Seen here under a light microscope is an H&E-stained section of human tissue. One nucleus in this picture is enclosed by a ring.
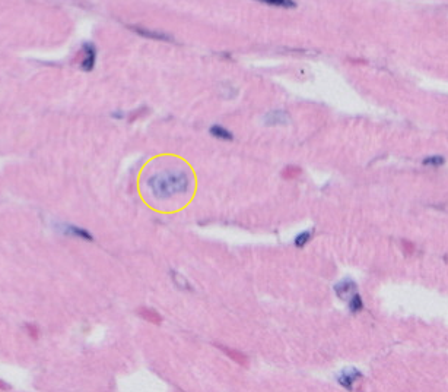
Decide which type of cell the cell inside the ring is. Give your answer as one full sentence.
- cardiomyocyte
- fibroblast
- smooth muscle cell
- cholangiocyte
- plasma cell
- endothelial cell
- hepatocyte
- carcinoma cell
The cell meant here is a cardiomyocyte.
